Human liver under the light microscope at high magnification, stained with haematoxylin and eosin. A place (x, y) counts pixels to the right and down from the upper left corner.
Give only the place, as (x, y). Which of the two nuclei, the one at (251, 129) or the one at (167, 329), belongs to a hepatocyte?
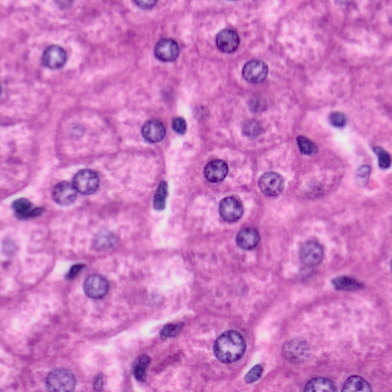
(251, 129)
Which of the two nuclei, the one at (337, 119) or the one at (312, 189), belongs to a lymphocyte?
(337, 119)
